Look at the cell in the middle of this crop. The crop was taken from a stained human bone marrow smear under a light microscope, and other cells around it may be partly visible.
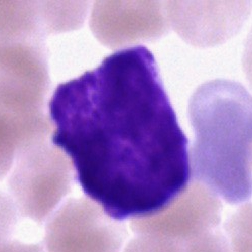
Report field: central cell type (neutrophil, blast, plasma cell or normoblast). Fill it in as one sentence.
In the crop, the cell of interest at the centre is a blast.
